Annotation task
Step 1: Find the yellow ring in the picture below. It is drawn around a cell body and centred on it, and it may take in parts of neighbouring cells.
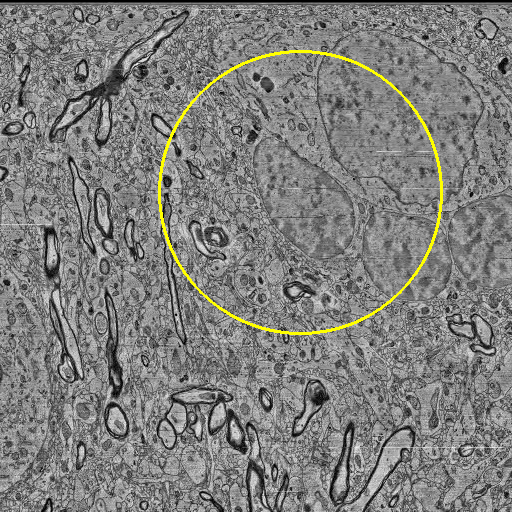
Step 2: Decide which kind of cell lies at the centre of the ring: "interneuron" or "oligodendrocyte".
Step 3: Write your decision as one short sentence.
The kind of cell at the ring's centre is an oligodendrocyte.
